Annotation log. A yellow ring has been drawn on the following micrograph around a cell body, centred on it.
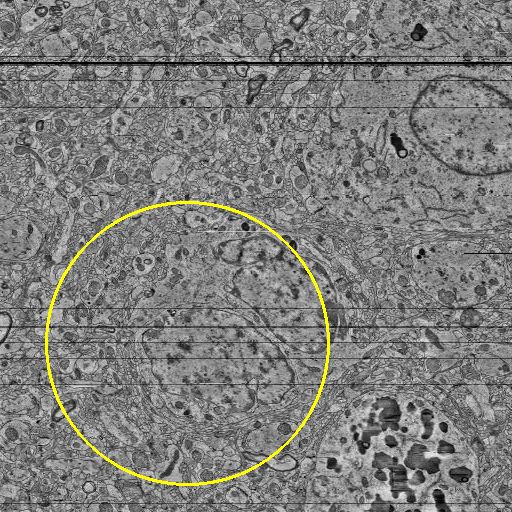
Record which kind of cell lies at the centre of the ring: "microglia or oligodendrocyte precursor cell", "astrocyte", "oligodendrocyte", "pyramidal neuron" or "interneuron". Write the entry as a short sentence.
The cell the ring is centred on is an interneuron.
